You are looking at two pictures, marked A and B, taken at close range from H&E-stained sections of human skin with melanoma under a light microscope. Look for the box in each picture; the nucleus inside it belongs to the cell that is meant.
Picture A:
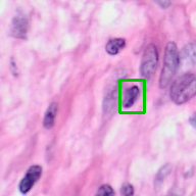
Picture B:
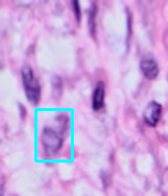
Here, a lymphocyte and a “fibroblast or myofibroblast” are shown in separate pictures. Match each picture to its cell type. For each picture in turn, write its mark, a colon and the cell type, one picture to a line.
A: lymphocyte
B: fibroblast or myofibroblast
